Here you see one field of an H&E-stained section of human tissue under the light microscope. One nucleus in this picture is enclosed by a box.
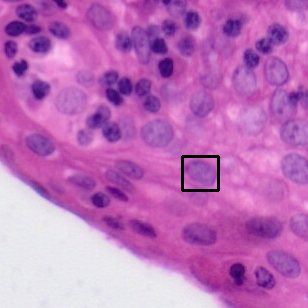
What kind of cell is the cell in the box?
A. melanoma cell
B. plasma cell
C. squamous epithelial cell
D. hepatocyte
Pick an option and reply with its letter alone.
C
